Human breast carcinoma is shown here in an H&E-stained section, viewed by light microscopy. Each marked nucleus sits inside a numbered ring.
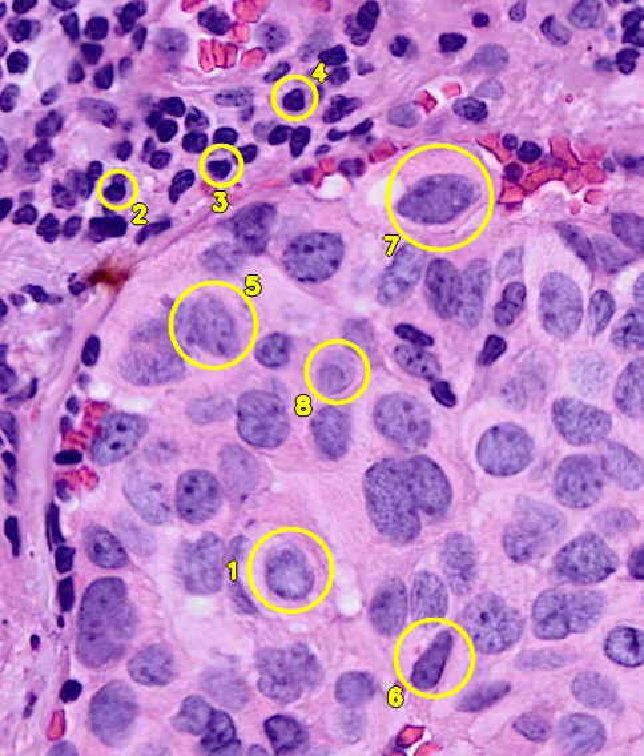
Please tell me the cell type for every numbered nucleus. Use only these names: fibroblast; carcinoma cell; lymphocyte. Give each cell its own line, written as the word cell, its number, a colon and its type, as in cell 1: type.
cell 1: carcinoma cell
cell 2: lymphocyte
cell 3: lymphocyte
cell 4: lymphocyte
cell 5: carcinoma cell
cell 6: carcinoma cell
cell 7: carcinoma cell
cell 8: carcinoma cell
